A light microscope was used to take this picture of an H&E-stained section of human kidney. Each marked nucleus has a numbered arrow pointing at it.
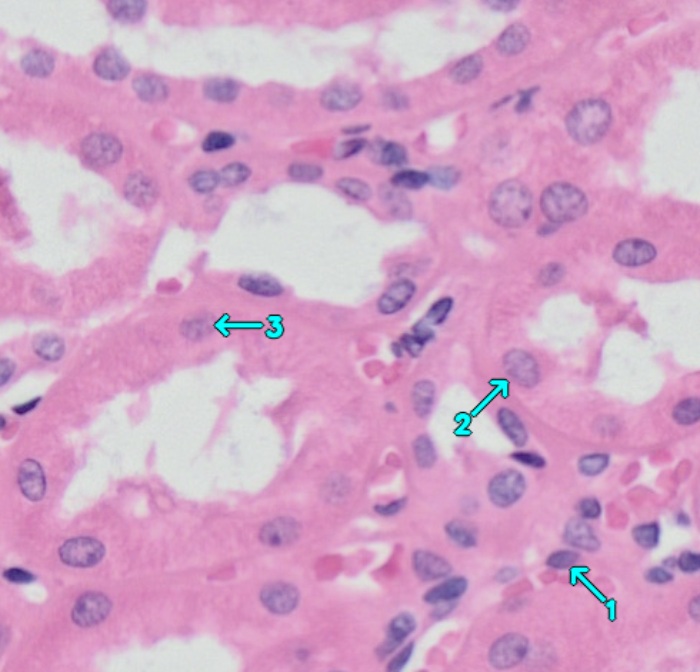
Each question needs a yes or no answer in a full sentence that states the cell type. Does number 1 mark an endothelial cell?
Yes, cell number 1 is classified as an endothelial cell.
